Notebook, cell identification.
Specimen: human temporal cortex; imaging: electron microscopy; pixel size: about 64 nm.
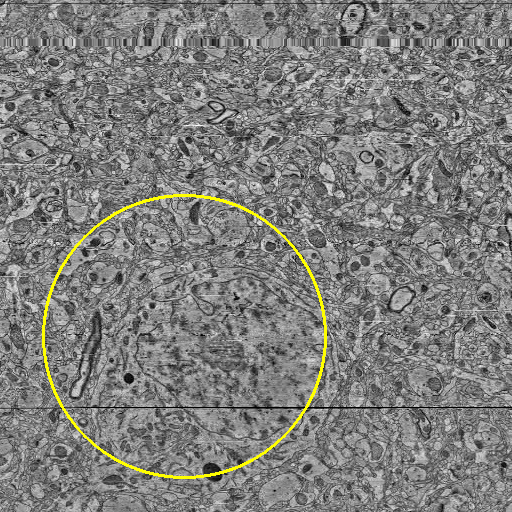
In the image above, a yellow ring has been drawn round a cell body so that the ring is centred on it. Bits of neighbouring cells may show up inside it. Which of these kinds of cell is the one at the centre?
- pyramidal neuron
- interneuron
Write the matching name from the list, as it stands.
interneuron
